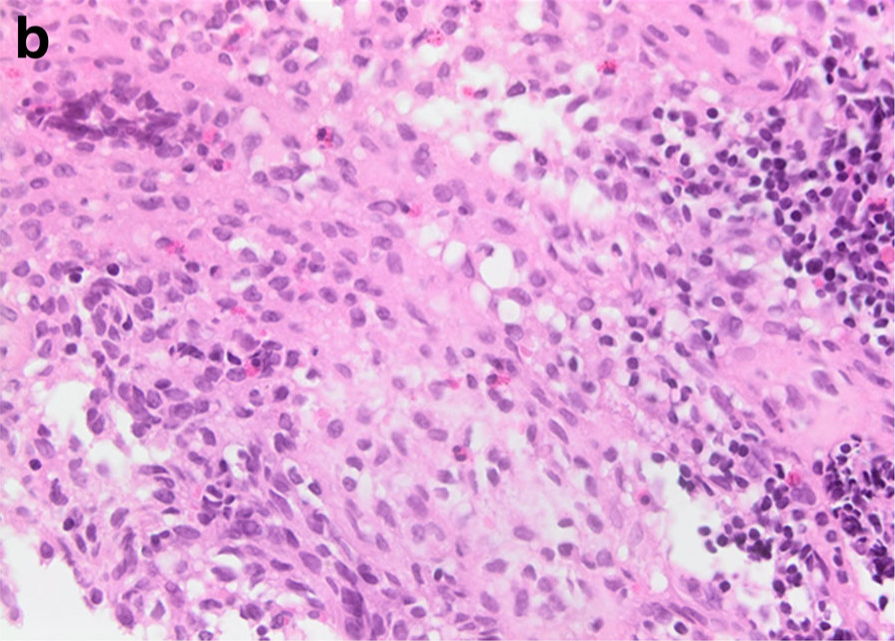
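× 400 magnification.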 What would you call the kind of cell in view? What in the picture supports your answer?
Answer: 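Sheets of medium-sized cells with oval to bean-shaped, pale, folded nuclei. The cells have moderate pale pink cytoplasm with indistinct borders. Scattered cells with bright red granular cytoplasm lie among them. That points to this answer: Langerhans cells.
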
